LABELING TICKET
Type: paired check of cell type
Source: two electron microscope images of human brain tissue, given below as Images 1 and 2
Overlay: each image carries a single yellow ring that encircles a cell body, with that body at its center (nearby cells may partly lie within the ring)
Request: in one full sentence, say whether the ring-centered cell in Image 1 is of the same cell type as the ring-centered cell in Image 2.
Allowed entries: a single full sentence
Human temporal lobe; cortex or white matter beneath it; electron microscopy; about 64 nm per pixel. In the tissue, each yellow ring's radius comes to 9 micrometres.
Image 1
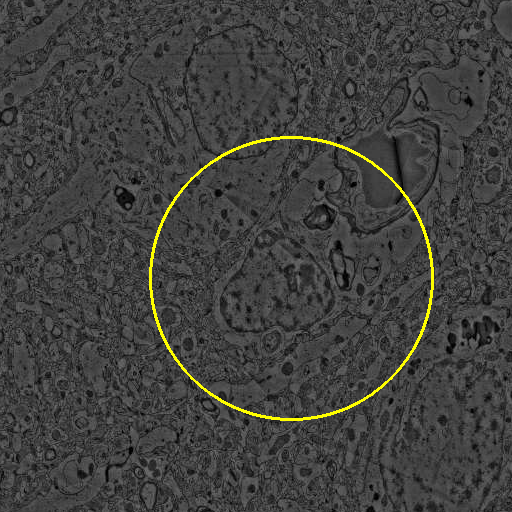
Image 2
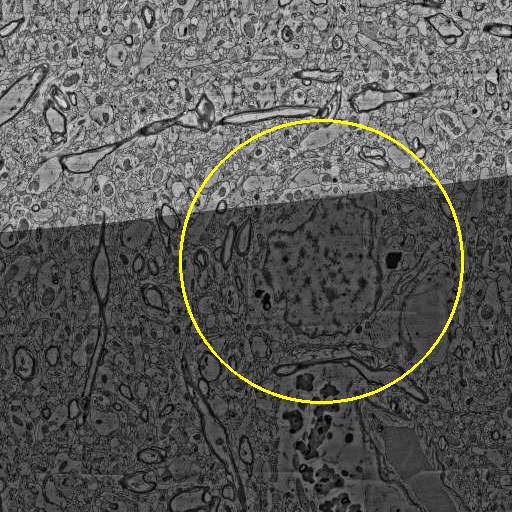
No, the cells centered in the rings of Image 1 and Image 2 are of two types.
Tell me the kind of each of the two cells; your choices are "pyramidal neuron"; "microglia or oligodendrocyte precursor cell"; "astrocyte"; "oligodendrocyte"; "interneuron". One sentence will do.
The ringed cell is a microglial cell or oligodendrocyte precursor cell in the first picture and an interneuron in the second picture.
